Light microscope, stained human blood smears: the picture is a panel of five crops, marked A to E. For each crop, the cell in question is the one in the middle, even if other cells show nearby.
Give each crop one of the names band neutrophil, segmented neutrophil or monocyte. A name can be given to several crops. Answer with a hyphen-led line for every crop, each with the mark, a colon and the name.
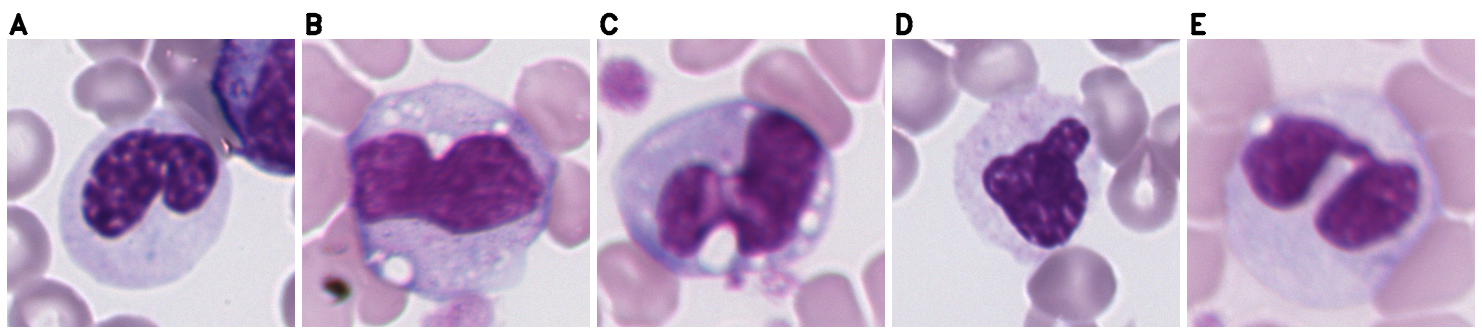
- A: band neutrophil
- B: monocyte
- C: monocyte
- D: segmented neutrophil
- E: monocyte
